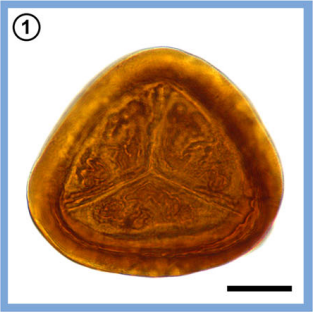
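A three-rayed scar runs from the centre towards the three corners. A broad, thick, darker rim encircles the body at the equator. The surface between the rays shows irregular, wavy sculpture.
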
